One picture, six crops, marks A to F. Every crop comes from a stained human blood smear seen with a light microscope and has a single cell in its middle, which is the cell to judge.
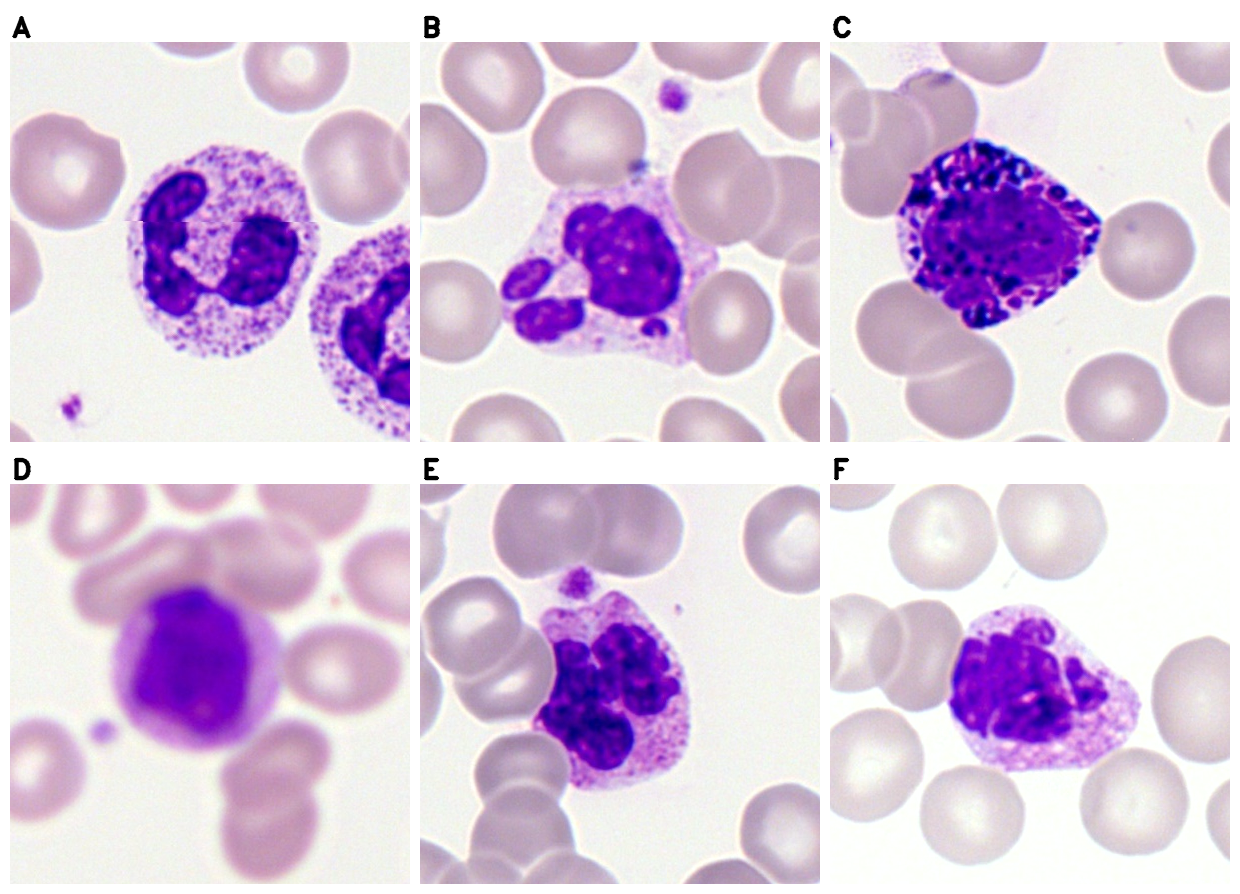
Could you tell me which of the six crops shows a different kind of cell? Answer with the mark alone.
A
